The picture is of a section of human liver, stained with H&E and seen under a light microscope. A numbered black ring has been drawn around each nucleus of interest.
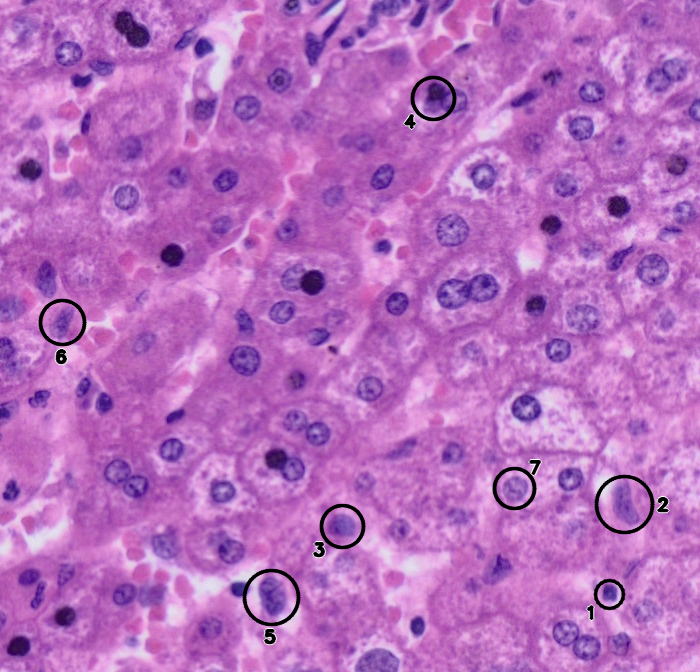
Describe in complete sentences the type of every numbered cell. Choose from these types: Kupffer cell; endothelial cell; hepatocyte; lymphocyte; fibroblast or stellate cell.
Cell 1 is a lymphocyte. Cells 2 and 5 are Kupffer cells. Cell 3 is an endothelial cell. Cells 4 and 7 are hepatocytes. Cell 6 is a fibroblast or stellate cell.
